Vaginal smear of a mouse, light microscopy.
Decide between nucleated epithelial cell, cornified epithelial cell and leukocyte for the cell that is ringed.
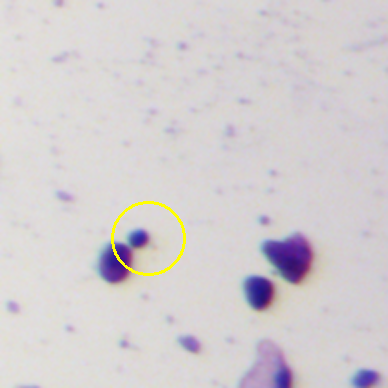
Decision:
I take the ringed cell for a leukocyte.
